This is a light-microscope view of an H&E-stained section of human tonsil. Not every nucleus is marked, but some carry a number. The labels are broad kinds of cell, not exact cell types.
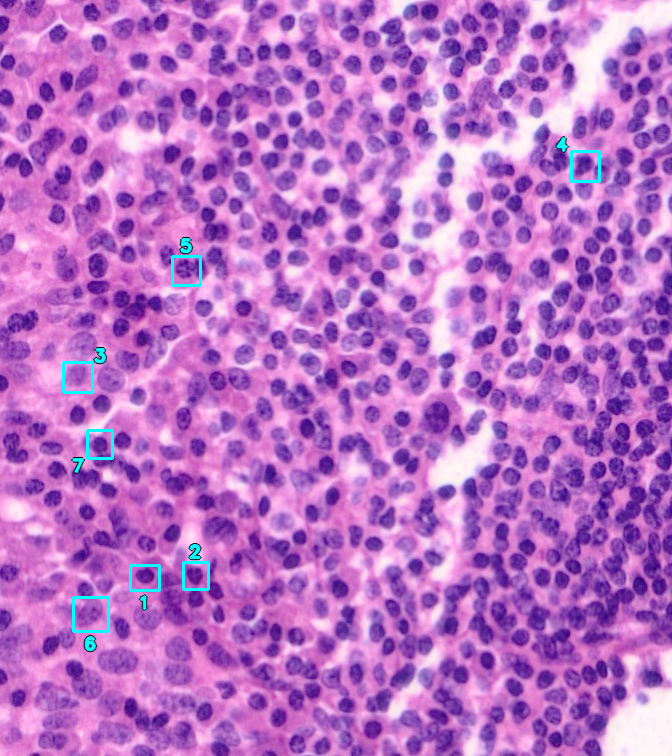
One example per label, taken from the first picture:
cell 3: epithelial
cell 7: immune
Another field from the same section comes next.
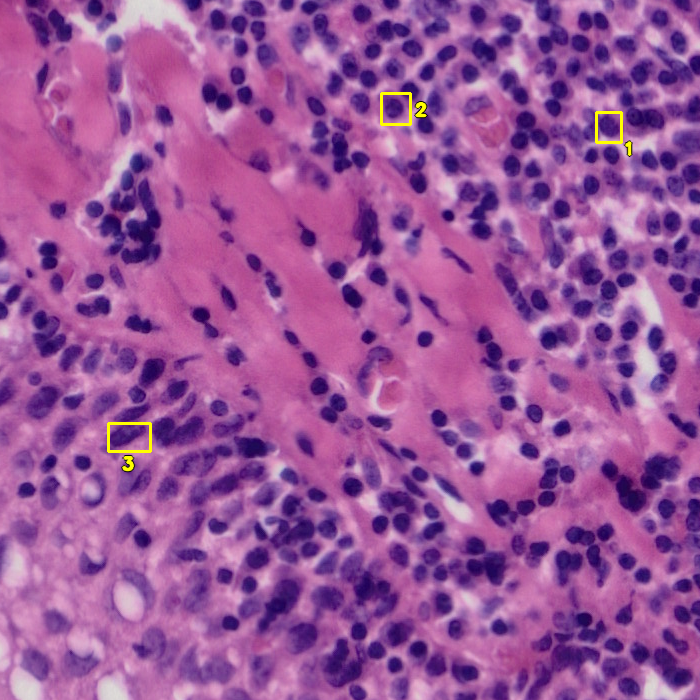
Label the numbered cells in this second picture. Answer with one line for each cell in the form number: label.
1: immune
2: immune
3: epithelial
